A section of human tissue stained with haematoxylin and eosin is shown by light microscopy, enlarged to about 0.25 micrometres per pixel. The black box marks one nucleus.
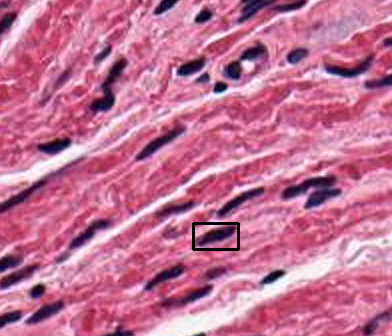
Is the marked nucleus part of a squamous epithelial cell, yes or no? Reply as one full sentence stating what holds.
No, the marked nucleus is not present in a squamous epithelial cell.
